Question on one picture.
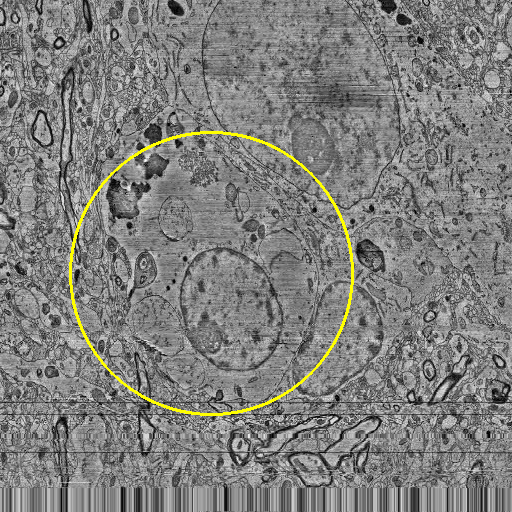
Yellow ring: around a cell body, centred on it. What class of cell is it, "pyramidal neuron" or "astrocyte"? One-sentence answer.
This is an astrocyte, the cell the ring is centred on.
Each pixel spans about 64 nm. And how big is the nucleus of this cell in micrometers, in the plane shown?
About 8 micrometres by about 6 micrometres in this plane.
